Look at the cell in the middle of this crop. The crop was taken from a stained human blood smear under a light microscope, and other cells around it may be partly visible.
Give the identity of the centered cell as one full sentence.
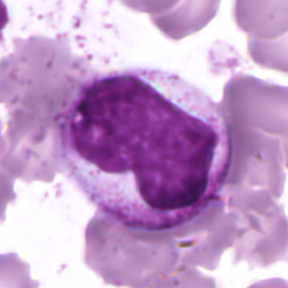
In the central position of this crop, the cell is a metamyelocyte.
